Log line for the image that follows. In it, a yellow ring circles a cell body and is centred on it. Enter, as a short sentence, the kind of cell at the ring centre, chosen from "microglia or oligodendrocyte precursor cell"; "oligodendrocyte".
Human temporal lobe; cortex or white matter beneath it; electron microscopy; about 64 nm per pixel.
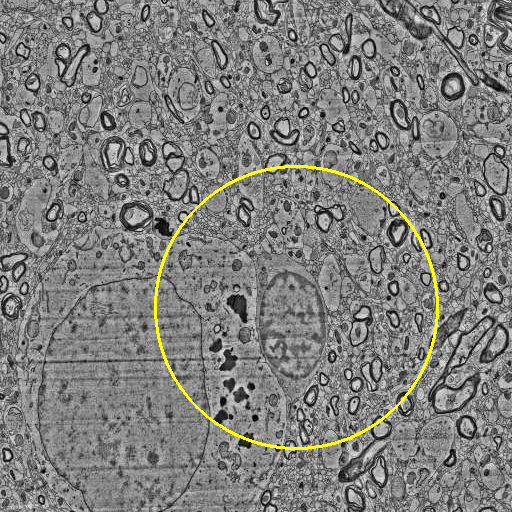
The ring centre is occupied by an oligodendrocyte.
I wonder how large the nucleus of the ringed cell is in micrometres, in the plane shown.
The nucleus appears roughly 7 by 4 micrometres in this plane.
